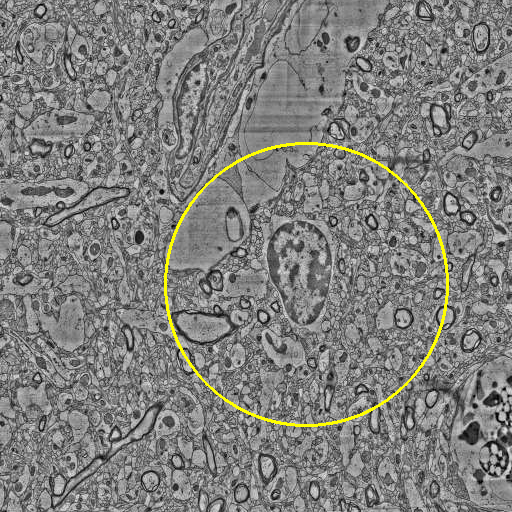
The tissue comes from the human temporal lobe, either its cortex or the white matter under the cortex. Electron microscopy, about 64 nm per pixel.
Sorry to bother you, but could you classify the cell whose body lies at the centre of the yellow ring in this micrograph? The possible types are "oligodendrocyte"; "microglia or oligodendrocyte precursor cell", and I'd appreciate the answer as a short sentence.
The ringed cell body is that of a microglial cell or oligodendrocyte precursor cell.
